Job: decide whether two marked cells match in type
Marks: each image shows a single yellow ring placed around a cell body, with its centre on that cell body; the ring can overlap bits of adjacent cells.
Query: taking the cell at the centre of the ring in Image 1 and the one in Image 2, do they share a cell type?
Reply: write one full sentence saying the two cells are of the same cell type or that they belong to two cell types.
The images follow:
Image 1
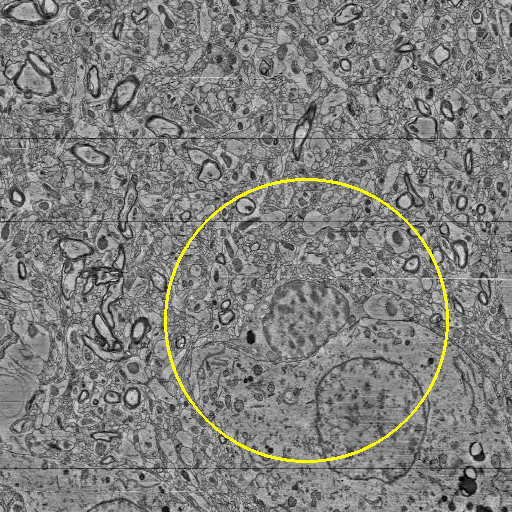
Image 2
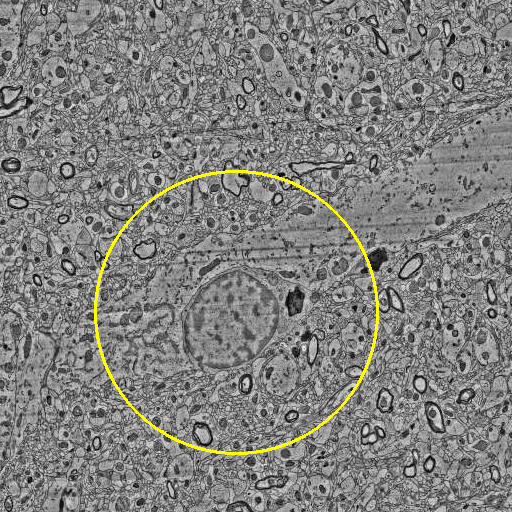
The cells at the ring centres in Image 1 and Image 2 are of the same cell type.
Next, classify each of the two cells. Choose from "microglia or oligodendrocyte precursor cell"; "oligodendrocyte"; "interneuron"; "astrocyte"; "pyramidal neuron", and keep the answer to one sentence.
In each picture the ringed cell is an oligodendrocyte.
